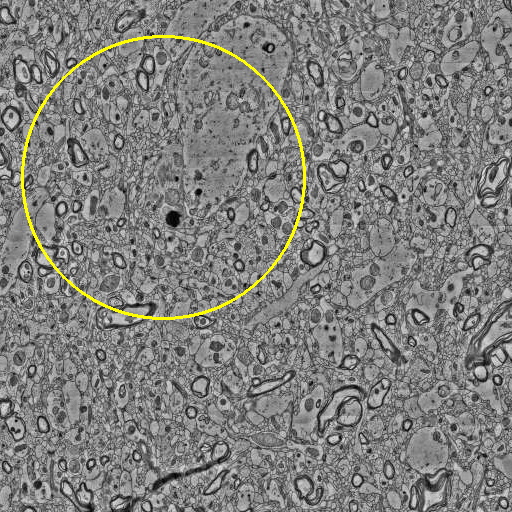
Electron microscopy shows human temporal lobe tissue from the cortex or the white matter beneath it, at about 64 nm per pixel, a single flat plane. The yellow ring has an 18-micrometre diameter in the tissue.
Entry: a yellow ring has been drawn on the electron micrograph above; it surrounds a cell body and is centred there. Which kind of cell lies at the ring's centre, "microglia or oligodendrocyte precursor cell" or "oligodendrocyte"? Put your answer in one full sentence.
The cell sitting at the ring's centre is an oligodendrocyte in the micrograph above.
